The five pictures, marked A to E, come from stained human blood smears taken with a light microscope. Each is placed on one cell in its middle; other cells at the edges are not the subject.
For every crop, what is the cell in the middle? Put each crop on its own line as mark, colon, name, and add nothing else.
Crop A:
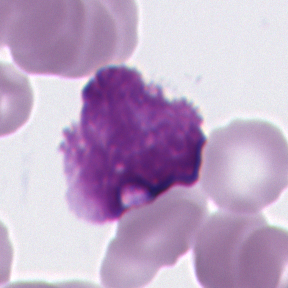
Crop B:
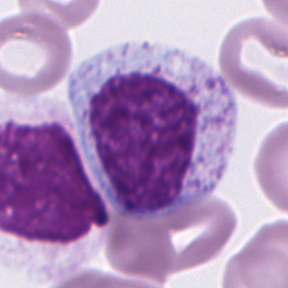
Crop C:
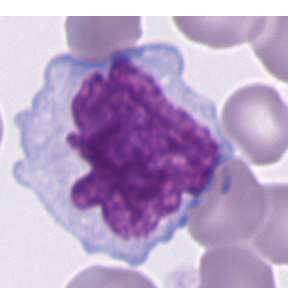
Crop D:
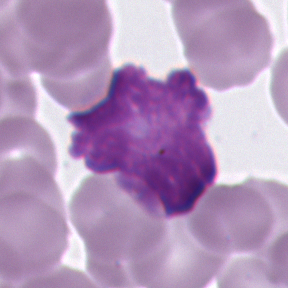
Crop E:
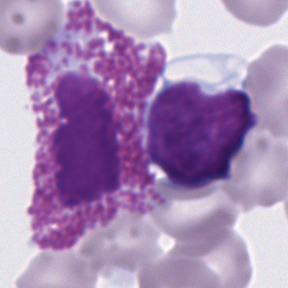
A: smudge cell
B: myelocyte
C: monocyte
D: smudge cell
E: eosinophil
